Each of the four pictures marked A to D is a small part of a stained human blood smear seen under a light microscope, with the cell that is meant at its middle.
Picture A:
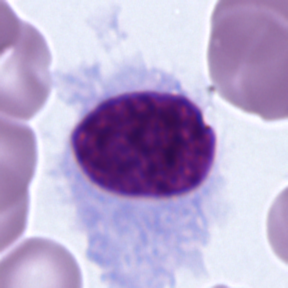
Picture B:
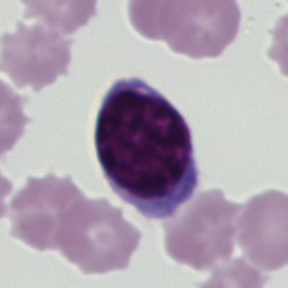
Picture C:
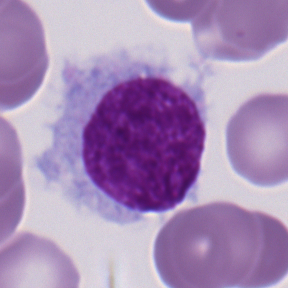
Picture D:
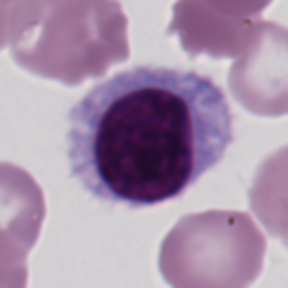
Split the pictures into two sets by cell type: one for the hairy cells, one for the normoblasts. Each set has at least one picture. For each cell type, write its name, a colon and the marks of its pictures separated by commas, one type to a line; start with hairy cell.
hairy cell: A, C, D
normoblast: B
